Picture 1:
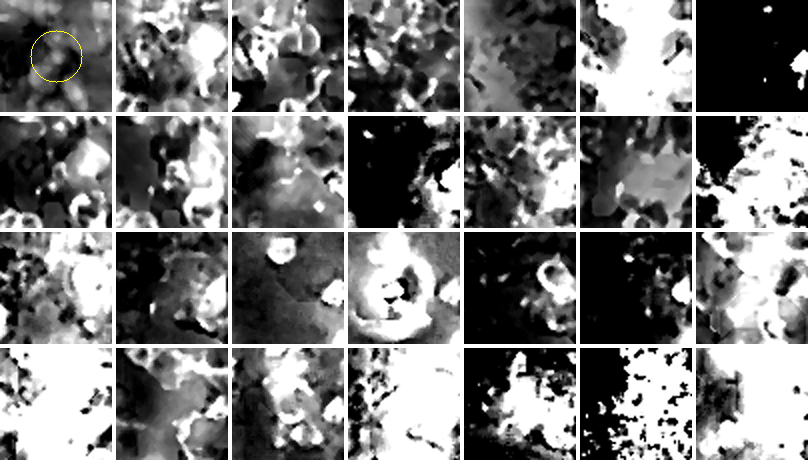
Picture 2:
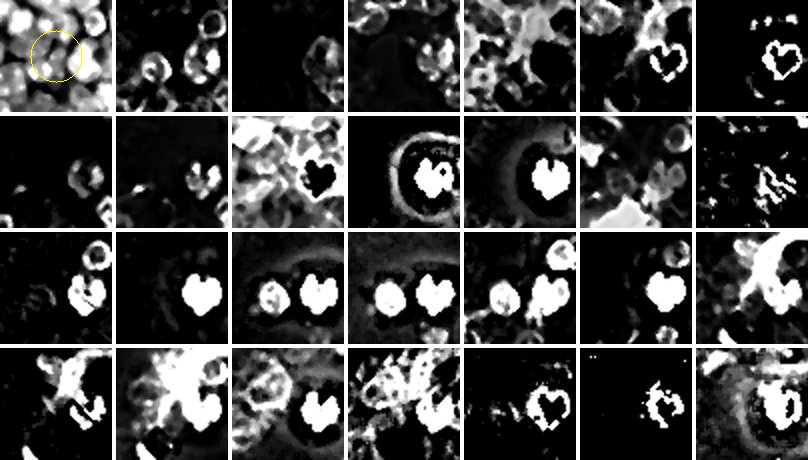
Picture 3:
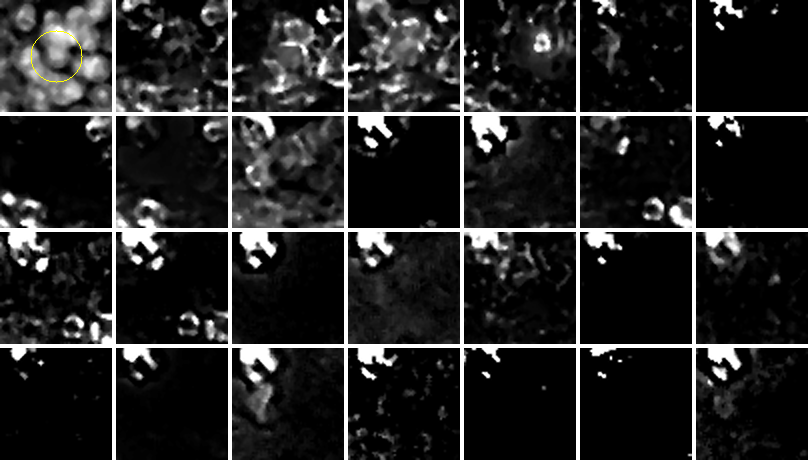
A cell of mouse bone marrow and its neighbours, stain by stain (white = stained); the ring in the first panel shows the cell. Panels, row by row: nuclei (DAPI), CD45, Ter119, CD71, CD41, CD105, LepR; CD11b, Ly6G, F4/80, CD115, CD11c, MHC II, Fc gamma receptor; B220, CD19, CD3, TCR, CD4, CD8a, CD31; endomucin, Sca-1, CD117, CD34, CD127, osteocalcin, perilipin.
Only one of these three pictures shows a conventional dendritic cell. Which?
Picture 1.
